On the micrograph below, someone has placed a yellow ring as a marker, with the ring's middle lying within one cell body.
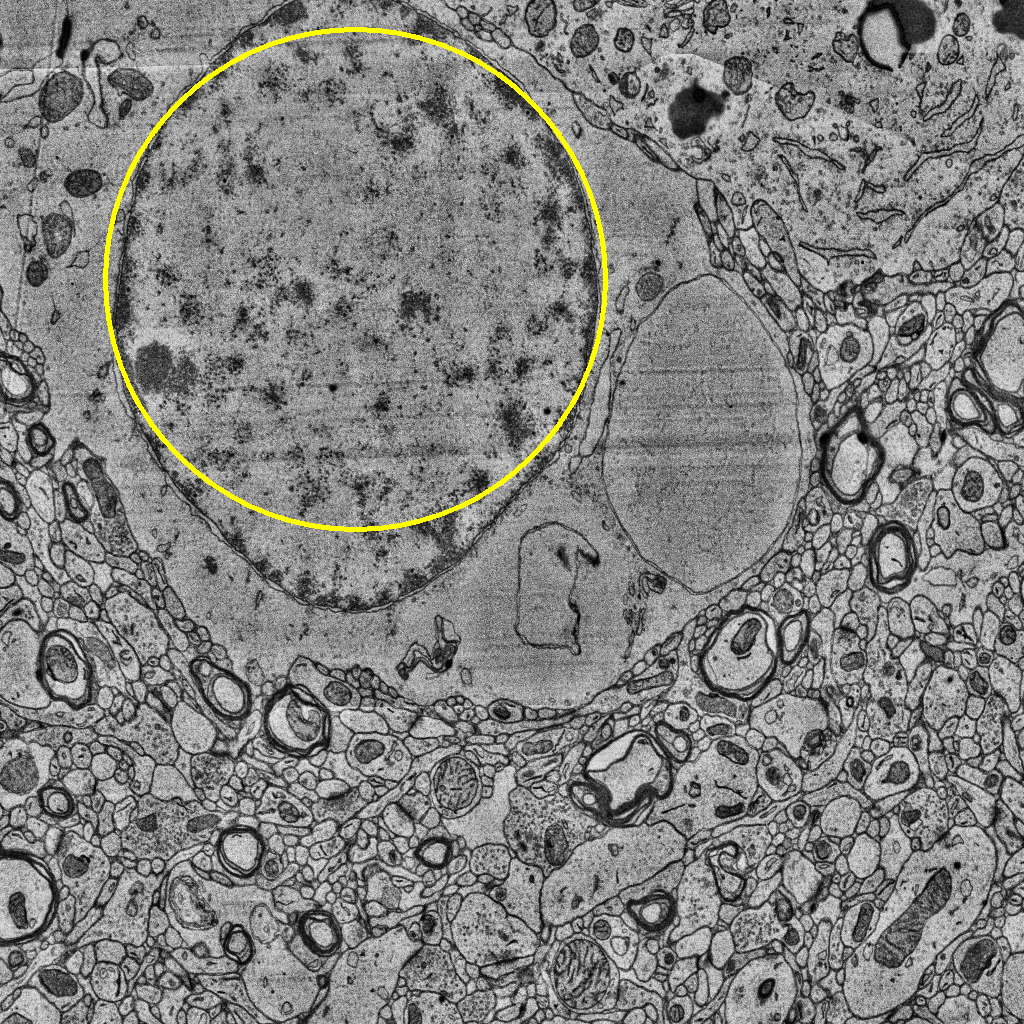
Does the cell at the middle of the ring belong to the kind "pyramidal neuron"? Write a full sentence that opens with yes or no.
No, the micrograph shows another kind of cell at the ring's middle.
